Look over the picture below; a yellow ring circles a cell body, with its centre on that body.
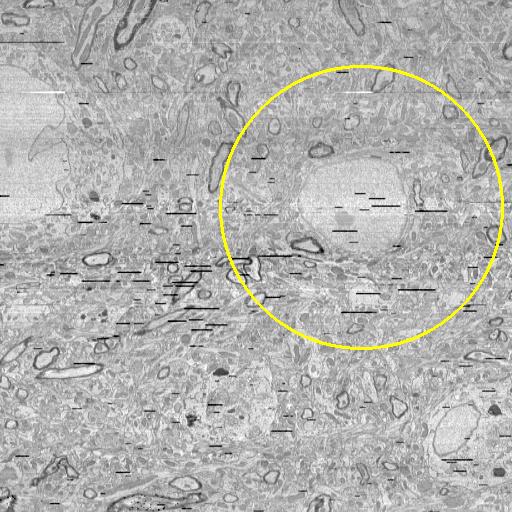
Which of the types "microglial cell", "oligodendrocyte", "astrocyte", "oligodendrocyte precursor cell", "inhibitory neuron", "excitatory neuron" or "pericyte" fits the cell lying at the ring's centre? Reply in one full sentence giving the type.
The picture shows an astrocyte at the centre of the yellow ring.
